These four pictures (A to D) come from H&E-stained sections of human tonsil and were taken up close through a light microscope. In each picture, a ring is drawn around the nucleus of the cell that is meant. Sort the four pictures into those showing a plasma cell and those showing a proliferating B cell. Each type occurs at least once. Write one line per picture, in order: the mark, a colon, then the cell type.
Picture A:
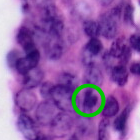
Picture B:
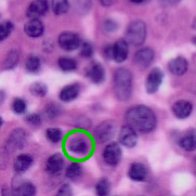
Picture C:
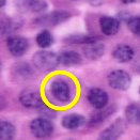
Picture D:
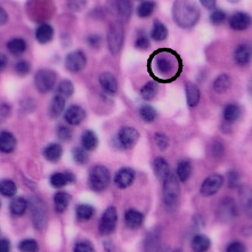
A: proliferating B cell
B: plasma cell
C: plasma cell
D: plasma cell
